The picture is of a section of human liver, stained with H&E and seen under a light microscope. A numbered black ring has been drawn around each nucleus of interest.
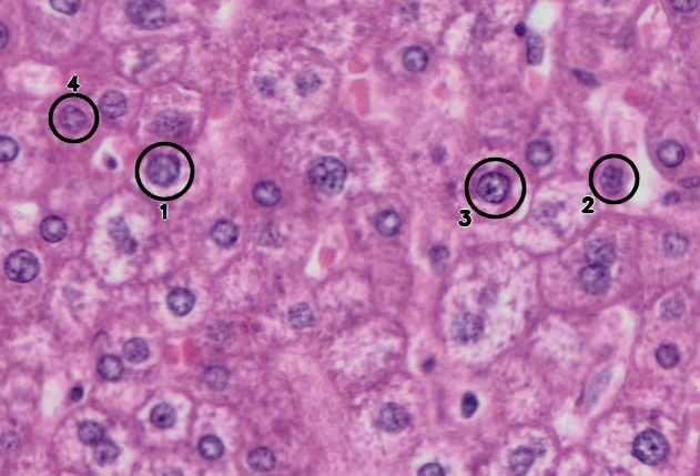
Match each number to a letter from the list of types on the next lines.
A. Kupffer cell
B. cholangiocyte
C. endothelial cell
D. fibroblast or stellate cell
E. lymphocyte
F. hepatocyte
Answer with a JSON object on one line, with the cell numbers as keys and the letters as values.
{"1": "F", "2": "A", "3": "F", "4": "F"}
